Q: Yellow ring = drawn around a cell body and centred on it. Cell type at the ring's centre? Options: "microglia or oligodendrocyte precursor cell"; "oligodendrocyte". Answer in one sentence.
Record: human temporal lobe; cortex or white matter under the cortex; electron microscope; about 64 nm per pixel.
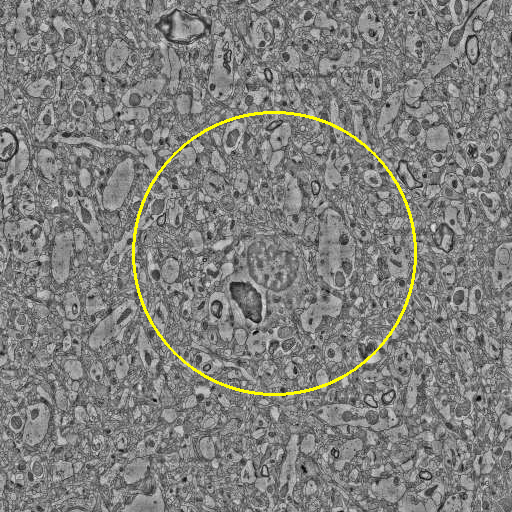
Centred in the ring is an oligodendrocyte.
